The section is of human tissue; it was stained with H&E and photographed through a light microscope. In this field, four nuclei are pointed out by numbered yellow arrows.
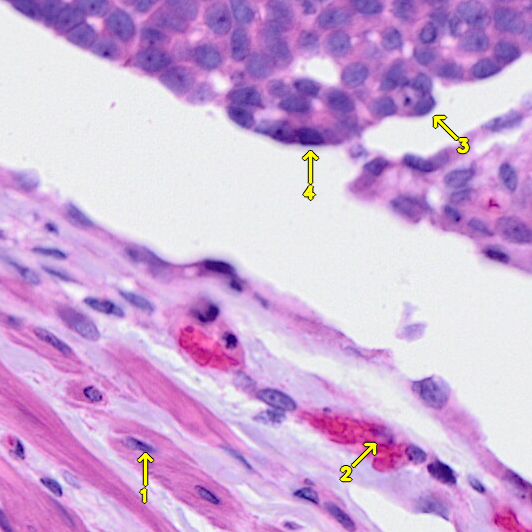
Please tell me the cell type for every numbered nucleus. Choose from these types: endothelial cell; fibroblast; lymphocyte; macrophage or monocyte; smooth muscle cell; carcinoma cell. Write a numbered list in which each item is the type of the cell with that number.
1. smooth muscle cell
2. endothelial cell
3. carcinoma cell
4. carcinoma cell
